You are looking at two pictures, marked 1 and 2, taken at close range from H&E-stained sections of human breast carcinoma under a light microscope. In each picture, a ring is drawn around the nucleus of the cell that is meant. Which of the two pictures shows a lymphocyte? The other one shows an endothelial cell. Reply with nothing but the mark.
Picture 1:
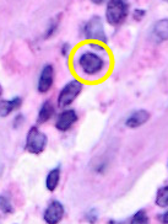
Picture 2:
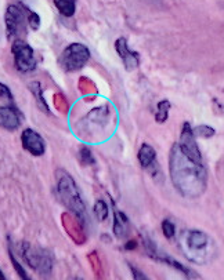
1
